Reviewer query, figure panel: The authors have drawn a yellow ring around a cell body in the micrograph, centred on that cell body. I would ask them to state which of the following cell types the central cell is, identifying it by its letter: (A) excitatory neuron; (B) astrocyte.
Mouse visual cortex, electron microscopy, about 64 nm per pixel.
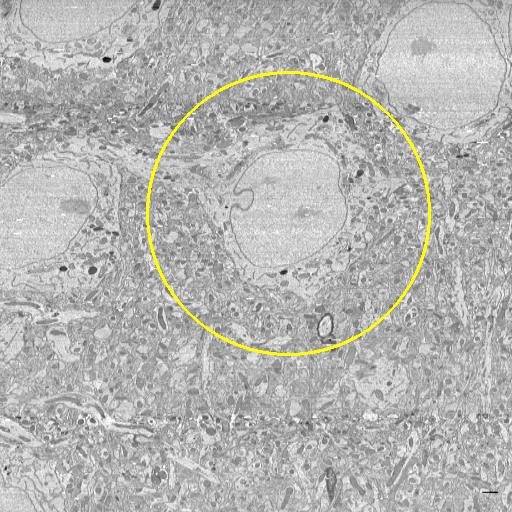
A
